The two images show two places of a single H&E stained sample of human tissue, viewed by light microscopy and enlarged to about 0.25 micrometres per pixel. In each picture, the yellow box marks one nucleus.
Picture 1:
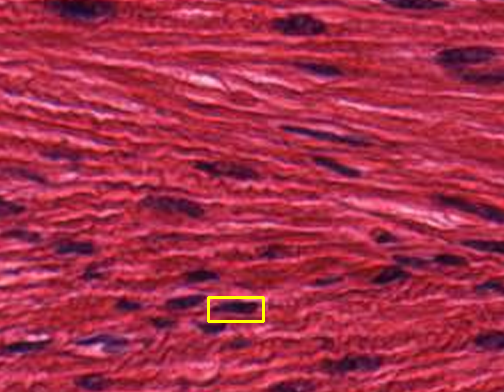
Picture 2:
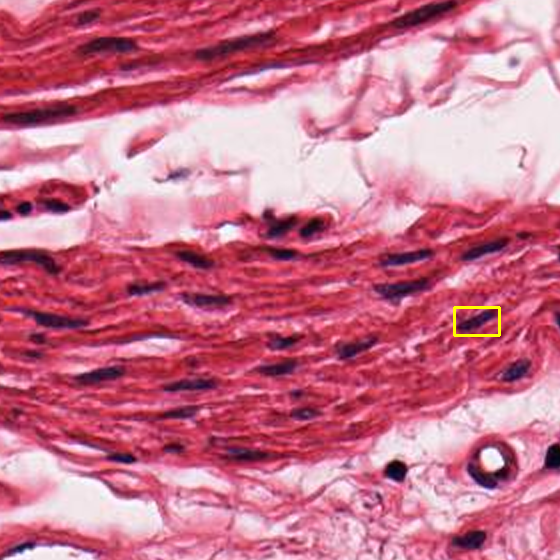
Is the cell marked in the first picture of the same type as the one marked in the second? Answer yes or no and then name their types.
Yes, both are smooth muscle cells.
